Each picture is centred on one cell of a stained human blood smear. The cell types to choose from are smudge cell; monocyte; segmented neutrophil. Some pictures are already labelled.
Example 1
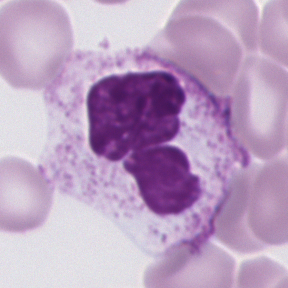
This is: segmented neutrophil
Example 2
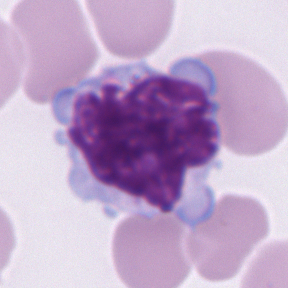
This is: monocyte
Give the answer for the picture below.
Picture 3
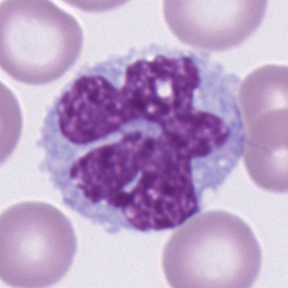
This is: monocyte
